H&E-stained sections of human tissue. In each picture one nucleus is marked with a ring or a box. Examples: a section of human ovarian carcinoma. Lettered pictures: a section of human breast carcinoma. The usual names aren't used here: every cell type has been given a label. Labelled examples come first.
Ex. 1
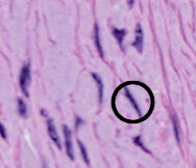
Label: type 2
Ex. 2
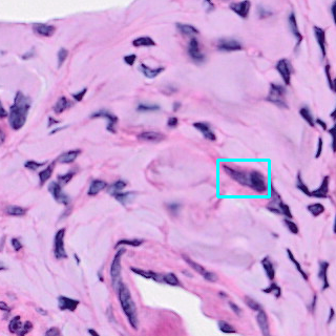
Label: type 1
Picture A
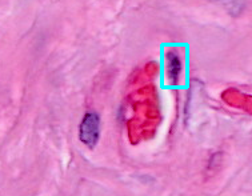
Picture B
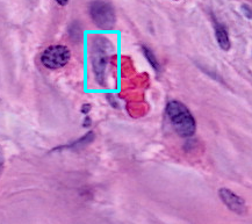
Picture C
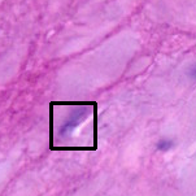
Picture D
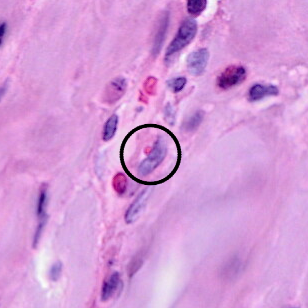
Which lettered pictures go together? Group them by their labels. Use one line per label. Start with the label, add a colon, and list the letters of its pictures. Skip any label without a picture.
type 2: C
type 1: A, B, D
